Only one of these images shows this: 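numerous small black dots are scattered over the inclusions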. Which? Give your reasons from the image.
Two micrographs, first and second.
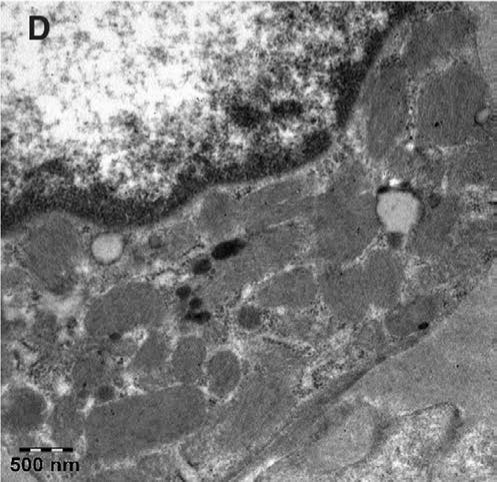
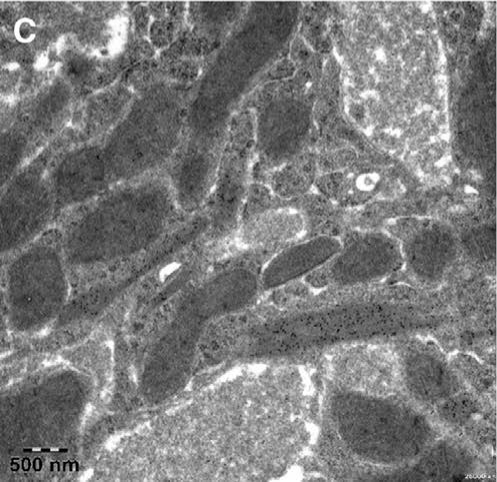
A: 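Second image: many fine black dots are spread over the elongated dense inclusions.
Hence: the second image.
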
